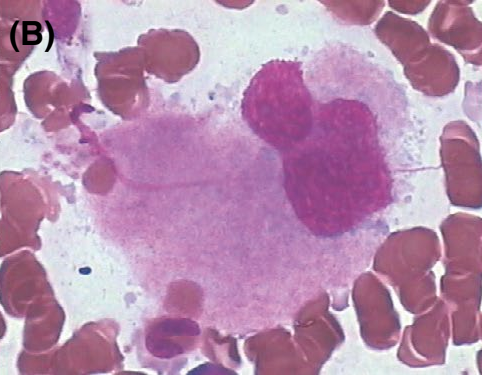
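A large granular megakaryocyte lies in a bone marrow smear among red cells. It is many times their size. The cytoplasm is abundant, pale lilac and finely granular, and it spreads widely around the nucleus. The outer edge of the cytoplasm is irregular.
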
